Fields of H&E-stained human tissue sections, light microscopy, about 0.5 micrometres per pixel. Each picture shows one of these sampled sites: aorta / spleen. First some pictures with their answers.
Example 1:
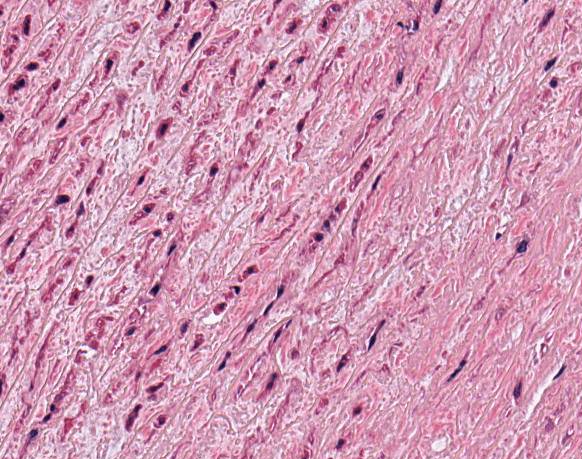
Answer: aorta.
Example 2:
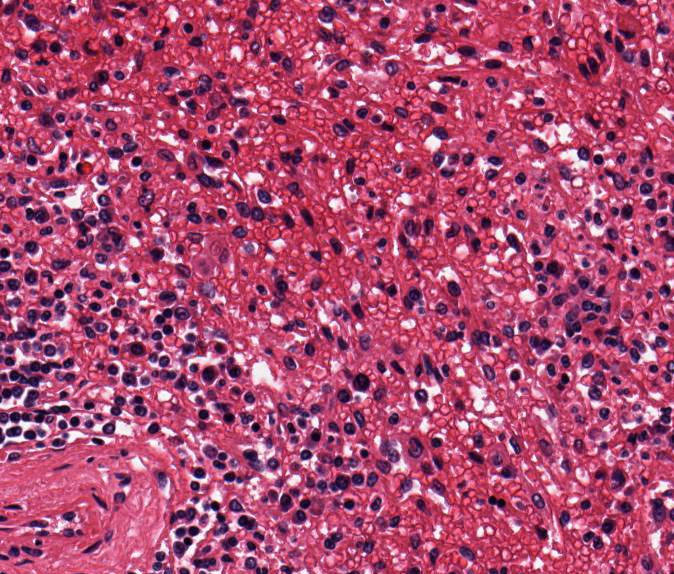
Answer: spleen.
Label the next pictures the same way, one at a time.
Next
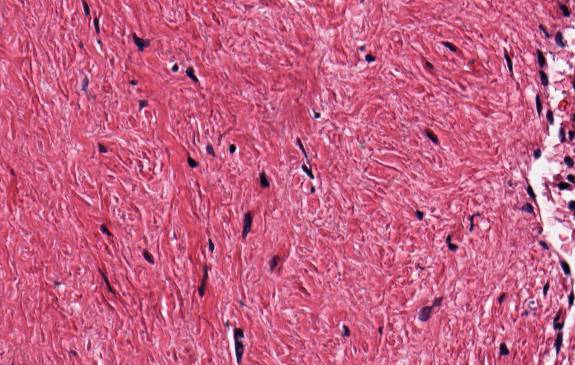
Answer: spleen.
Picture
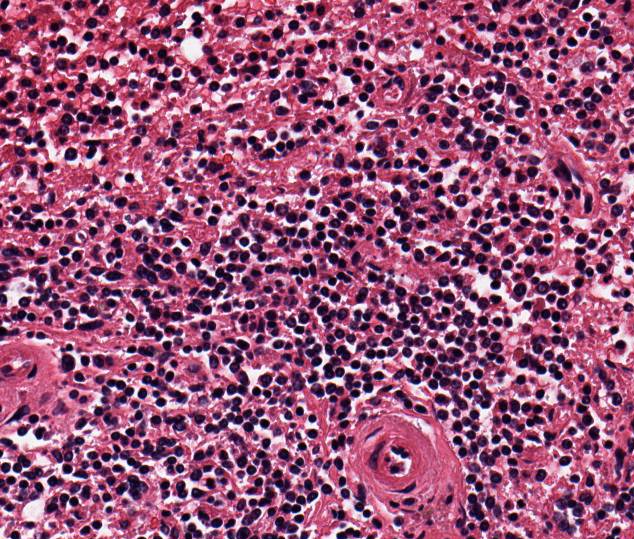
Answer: spleen.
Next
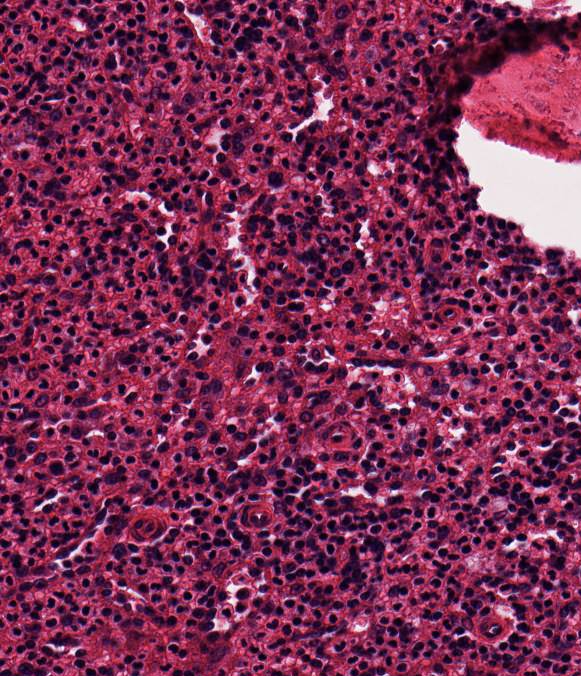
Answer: spleen.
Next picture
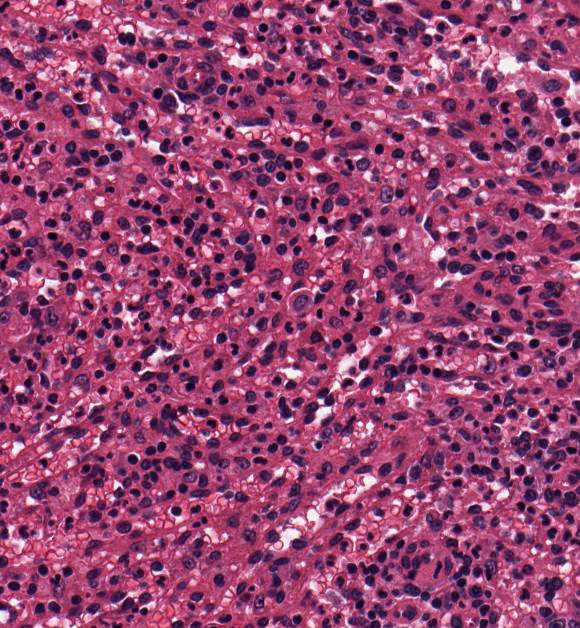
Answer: spleen.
